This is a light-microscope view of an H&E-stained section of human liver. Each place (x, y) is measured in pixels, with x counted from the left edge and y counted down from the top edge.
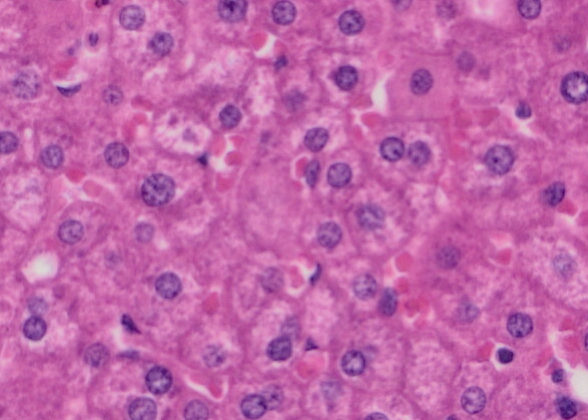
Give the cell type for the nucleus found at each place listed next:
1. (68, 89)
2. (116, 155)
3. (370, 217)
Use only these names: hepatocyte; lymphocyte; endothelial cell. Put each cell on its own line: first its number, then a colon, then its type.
1: endothelial cell
2: hepatocyte
3: hepatocyte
